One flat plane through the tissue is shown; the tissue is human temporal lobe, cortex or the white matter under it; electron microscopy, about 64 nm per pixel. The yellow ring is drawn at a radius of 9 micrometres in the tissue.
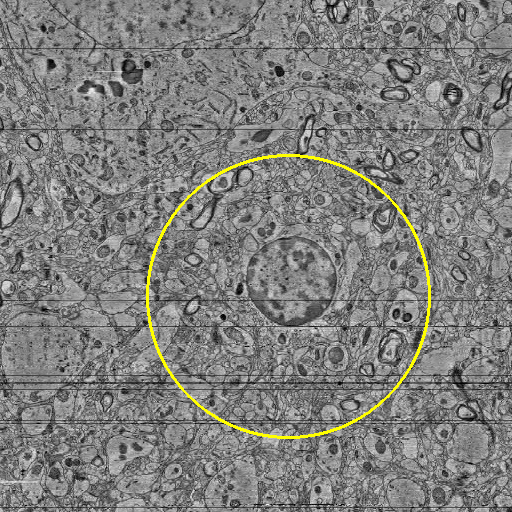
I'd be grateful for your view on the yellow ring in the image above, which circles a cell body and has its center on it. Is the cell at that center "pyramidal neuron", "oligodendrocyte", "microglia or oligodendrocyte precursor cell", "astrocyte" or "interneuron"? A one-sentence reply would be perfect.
The cell at the center of the yellow ring is a microglial cell or oligodendrocyte precursor cell.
